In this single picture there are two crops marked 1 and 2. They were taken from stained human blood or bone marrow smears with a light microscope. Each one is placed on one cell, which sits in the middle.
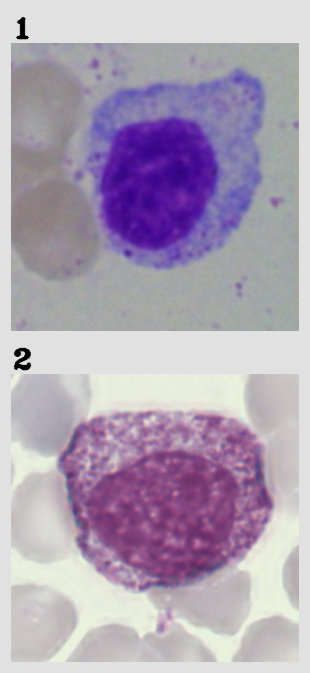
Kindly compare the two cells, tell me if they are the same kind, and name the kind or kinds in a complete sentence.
Yes, both crops show myelocytes as the central cells.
